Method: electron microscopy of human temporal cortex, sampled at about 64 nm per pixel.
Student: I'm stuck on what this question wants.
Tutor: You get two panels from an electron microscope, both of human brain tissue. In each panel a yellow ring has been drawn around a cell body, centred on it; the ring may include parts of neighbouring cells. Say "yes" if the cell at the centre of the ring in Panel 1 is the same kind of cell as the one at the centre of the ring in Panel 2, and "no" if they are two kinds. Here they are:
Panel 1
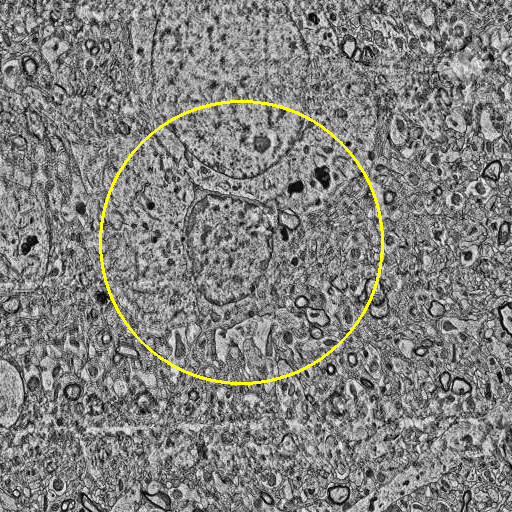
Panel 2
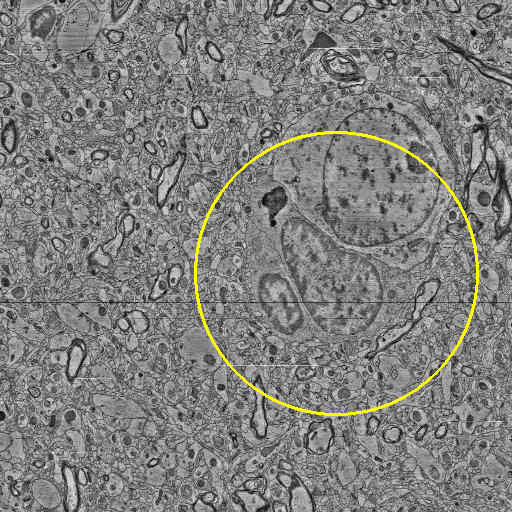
yes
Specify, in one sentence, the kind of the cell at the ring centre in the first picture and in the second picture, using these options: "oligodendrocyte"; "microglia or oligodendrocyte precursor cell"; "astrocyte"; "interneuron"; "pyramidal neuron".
Both cells are the same kind, each one being an oligodendrocyte.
